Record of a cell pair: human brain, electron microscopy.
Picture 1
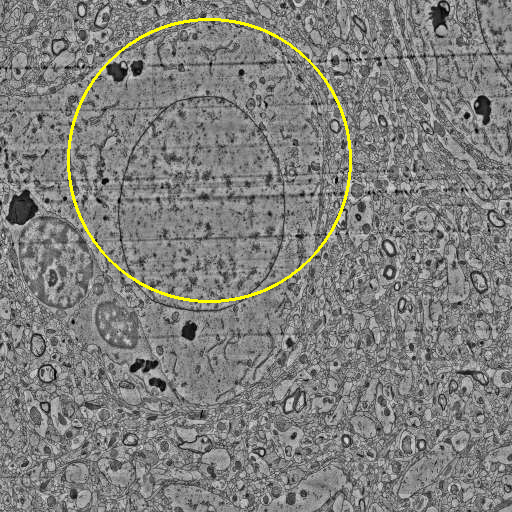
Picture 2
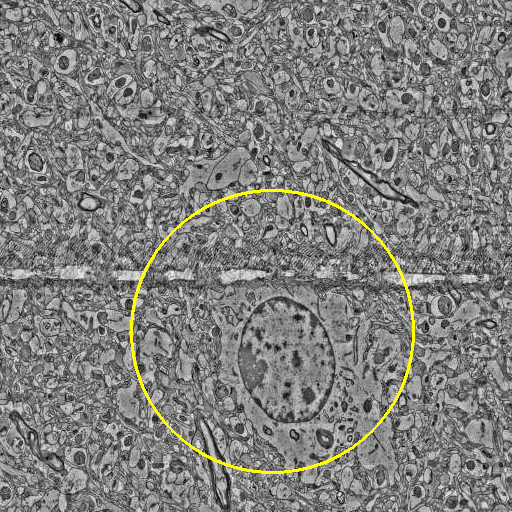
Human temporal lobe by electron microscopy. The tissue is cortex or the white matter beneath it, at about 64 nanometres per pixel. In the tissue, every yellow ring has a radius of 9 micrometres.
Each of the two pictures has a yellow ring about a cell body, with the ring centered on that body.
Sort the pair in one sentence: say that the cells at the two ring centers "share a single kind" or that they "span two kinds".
The cells centered in the rings of Pictures 1 and 2 span two kinds.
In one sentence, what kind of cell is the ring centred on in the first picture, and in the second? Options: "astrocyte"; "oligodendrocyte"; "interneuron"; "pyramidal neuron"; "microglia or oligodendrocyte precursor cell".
The cell at the centre of the second ring is an astrocyte; the first ring's cell is a pyramidal neuron.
